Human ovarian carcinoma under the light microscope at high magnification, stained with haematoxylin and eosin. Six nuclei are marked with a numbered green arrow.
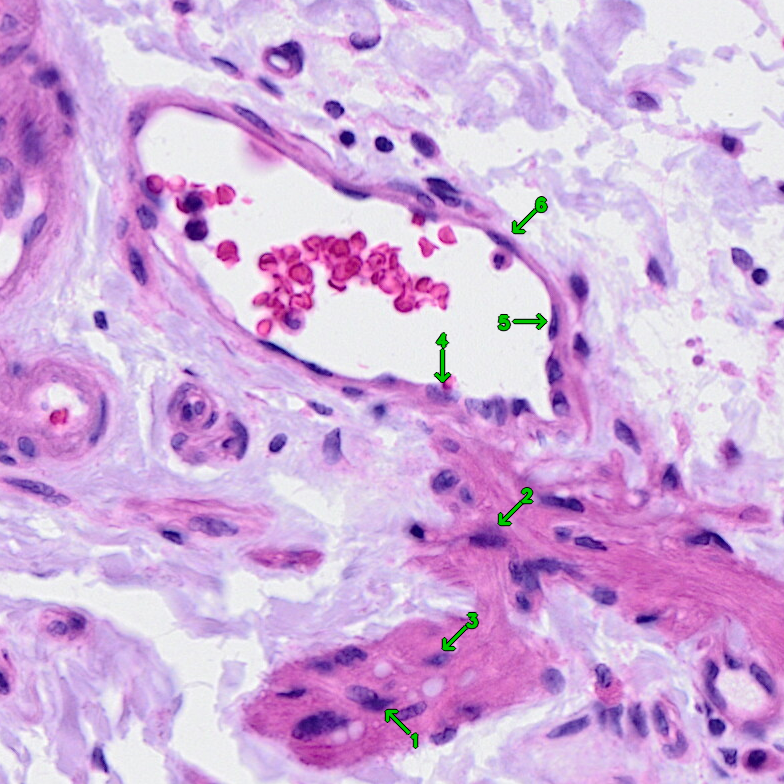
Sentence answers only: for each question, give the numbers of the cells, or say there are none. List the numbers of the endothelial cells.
The cells picked out by numbers 4, 5 and 6 are endothelial cells.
